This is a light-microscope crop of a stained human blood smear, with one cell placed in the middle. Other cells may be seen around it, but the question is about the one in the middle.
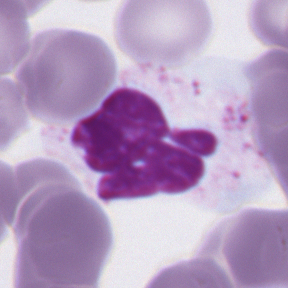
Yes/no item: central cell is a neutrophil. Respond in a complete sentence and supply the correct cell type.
Yes, the cell at the centre of the field is a neutrophil.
